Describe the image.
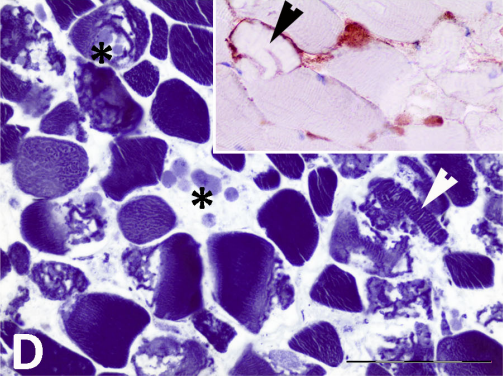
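Cross-sectioned skeletal muscle fibres of varying size stain dark blue-purple; many are homogeneous, while others are fragmented with a disorganised, granular or flocculent interior. The spaces between fibres are widened and pale, consistent with oedema, and hold small round pale-blue globes. One fibre has a rounded, swirled interior. The inset shows pale, emptied-looking fibre segments and reddish-brown globular deposits lying outside the fibres.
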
